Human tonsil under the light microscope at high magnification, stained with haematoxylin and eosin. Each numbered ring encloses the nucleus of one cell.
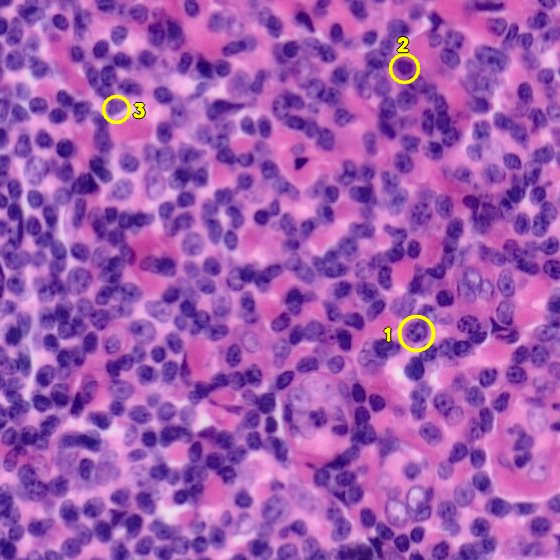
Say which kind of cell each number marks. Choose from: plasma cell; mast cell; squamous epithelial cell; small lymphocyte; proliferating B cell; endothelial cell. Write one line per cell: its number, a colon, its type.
1: plasma cell
2: plasma cell
3: small lymphocyte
